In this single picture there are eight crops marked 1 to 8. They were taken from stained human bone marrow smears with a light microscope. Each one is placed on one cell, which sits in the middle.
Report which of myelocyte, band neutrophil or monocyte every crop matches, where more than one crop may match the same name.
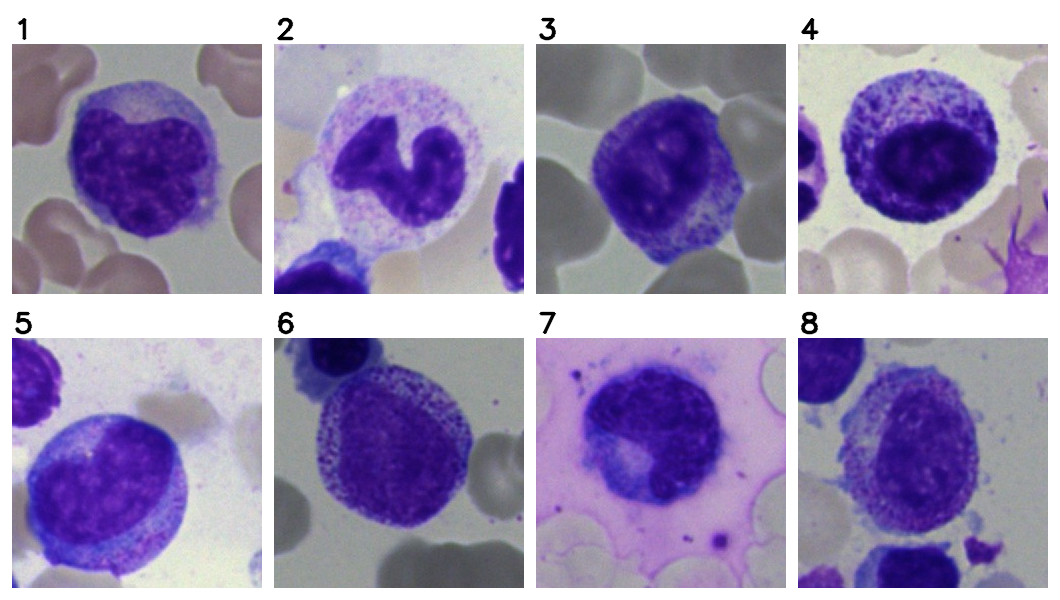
1: monocyte
2: band neutrophil
3: myelocyte
4: myelocyte
5: monocyte
6: myelocyte
7: monocyte
8: myelocyte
